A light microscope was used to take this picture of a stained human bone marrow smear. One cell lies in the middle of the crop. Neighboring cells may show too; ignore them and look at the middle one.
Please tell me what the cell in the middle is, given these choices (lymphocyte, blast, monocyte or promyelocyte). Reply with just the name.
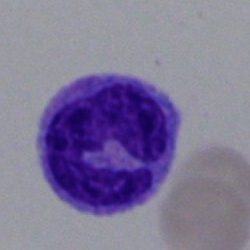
monocyte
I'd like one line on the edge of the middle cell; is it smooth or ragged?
Nothing juts out from the margin, which is smooth throughout.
